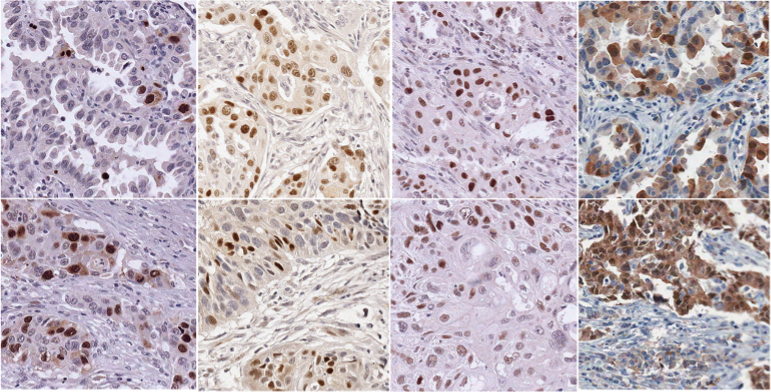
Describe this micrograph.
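Eight fields of carcinoma with blue counterstain. In the upper row the tumor cells line irregular gland-like spaces. In the first three columns brown stain lies in the nuclei of scattered to many tumor cells, while in the last column brown stain fills the cytoplasm and nuclei of most tumor cells and spares the stroma.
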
